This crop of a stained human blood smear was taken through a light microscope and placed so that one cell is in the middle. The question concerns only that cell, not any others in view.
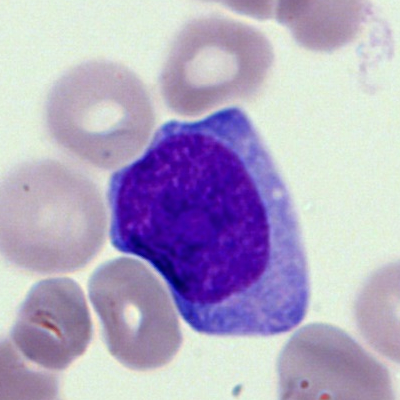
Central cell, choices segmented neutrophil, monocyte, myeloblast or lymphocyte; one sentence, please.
The cell under consideration, at the middle of the crop, is a myeloblast.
